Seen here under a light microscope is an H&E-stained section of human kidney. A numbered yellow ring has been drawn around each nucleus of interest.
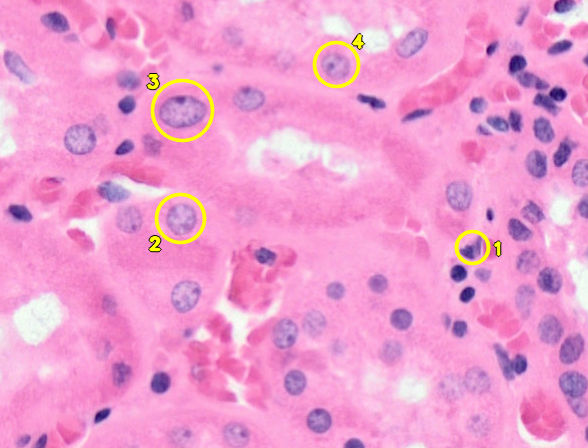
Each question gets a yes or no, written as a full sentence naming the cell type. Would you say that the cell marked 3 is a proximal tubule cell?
Yes, the cell that is numbered 3 is a proximal tubule cell.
